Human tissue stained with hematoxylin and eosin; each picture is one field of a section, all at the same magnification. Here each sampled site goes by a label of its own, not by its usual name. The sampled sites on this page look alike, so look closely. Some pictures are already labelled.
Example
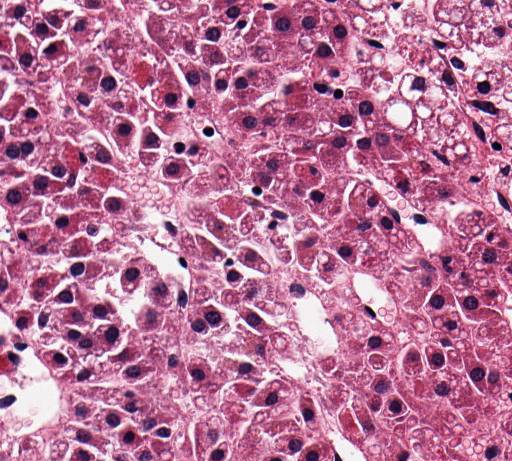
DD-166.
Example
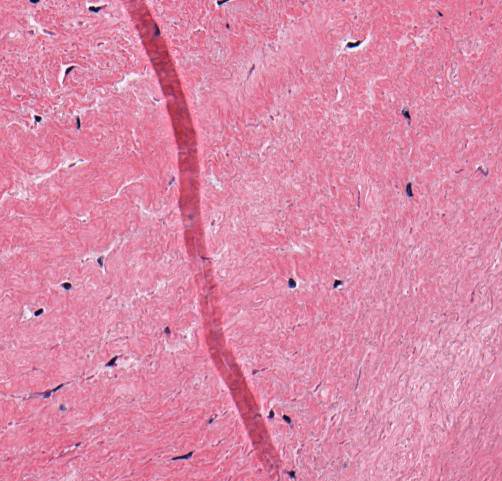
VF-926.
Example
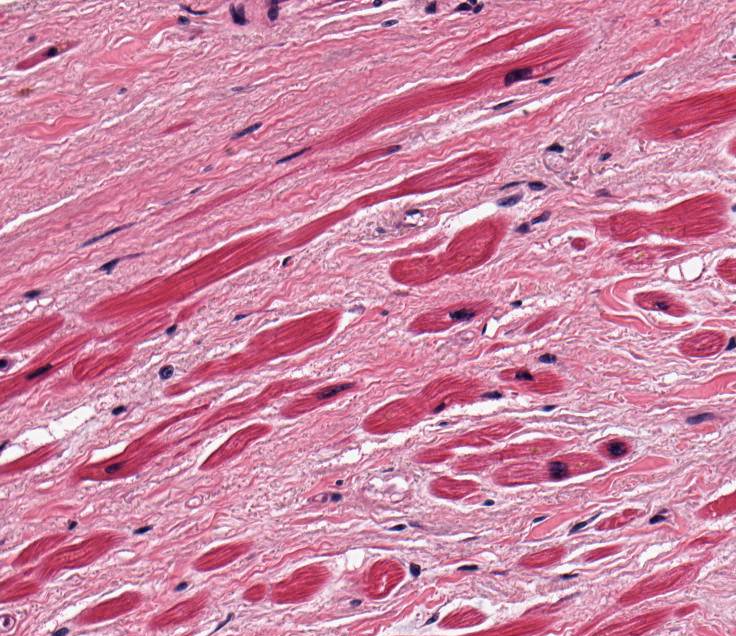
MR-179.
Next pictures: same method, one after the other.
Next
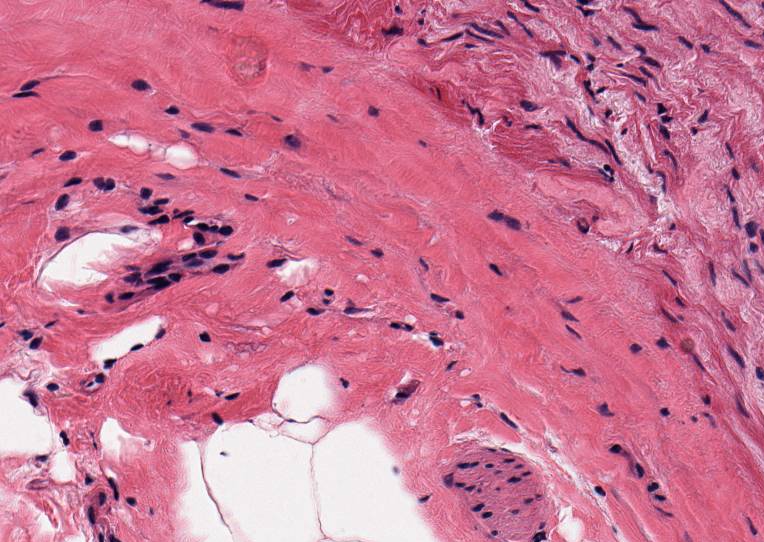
VF-926.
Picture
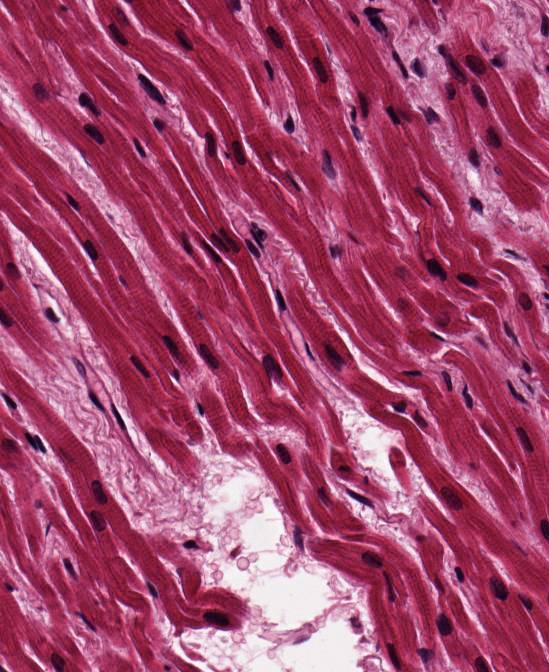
MR-179.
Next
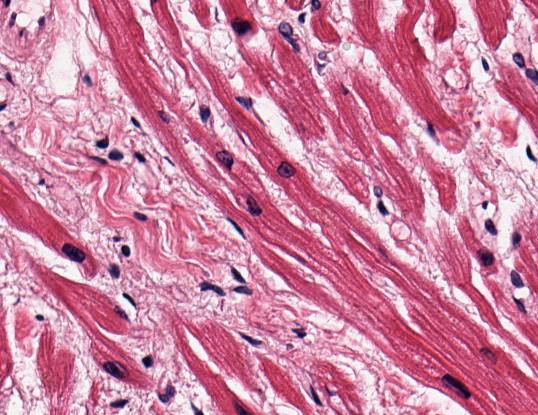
MR-179.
